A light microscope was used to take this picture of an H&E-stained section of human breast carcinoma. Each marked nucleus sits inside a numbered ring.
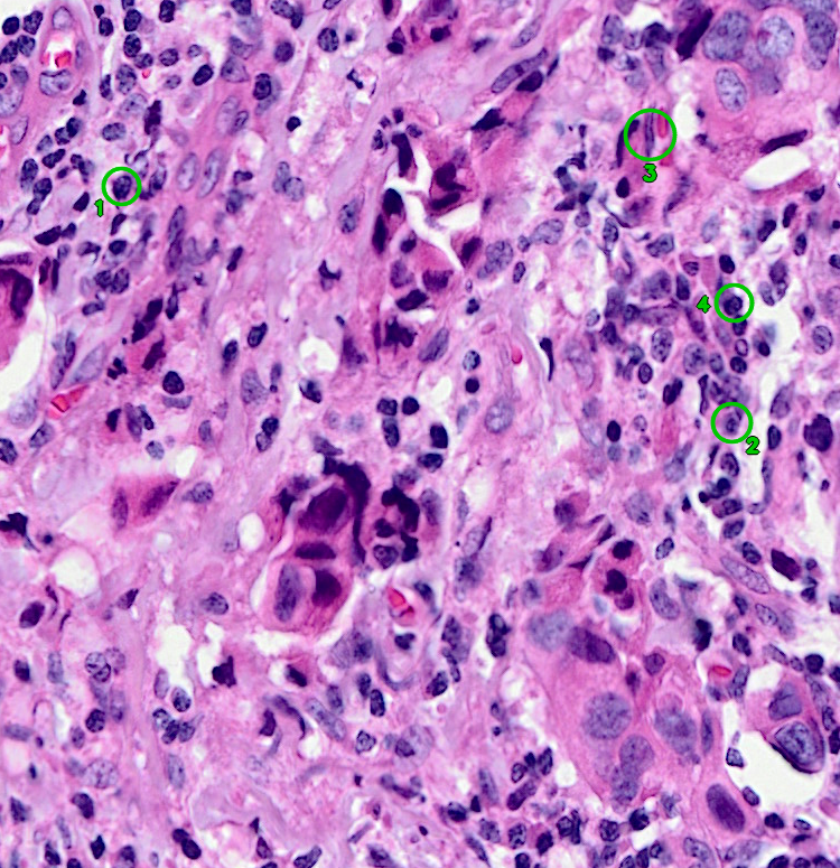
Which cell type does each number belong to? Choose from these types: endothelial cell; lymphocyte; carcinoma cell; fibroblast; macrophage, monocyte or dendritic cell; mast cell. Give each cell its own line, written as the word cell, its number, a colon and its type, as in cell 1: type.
cell 1: lymphocyte
cell 2: lymphocyte
cell 3: endothelial cell
cell 4: lymphocyte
